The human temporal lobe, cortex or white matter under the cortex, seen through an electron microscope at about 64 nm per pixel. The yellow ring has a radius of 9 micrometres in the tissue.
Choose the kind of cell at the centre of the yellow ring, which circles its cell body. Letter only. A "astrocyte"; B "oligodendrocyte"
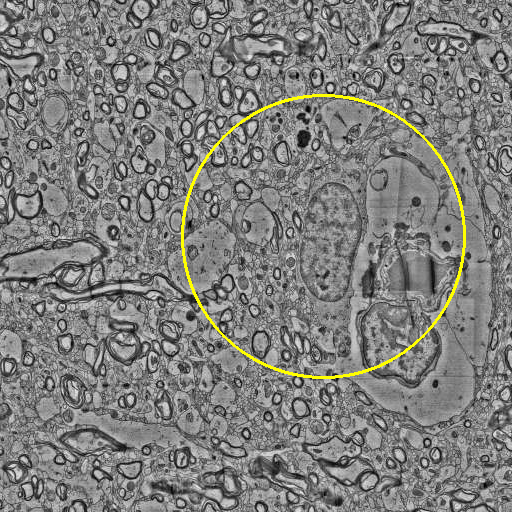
B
